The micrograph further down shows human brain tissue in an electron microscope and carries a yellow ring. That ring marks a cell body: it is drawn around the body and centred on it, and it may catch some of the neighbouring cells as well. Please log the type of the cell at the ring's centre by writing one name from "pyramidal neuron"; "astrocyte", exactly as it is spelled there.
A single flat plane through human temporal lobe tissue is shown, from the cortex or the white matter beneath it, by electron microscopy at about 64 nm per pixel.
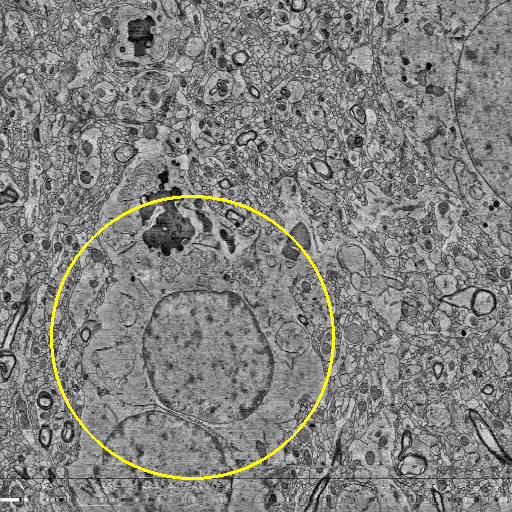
astrocyte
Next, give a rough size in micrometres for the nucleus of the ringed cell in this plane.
The nucleus is about 9 micrometres across in this plane.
